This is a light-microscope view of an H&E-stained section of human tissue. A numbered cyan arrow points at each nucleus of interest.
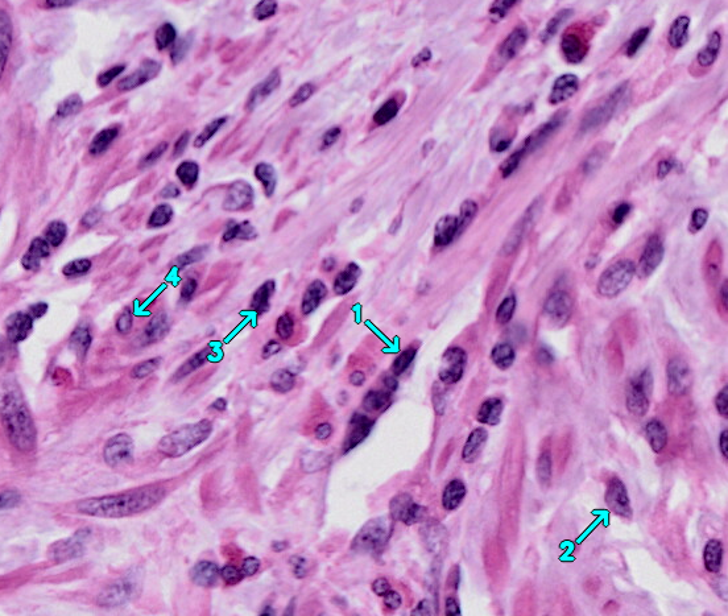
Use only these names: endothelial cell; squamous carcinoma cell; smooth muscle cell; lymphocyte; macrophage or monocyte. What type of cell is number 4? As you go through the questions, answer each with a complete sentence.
Denoted by the label 4 in the section is an endothelial cell.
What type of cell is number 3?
In the marked set, the cell given number 3 is a lymphocyte.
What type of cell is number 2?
To a macrophage or monocyte belongs the nucleus marked 2.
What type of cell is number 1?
The cell referenced by the number 1 is a lymphocyte in this field.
